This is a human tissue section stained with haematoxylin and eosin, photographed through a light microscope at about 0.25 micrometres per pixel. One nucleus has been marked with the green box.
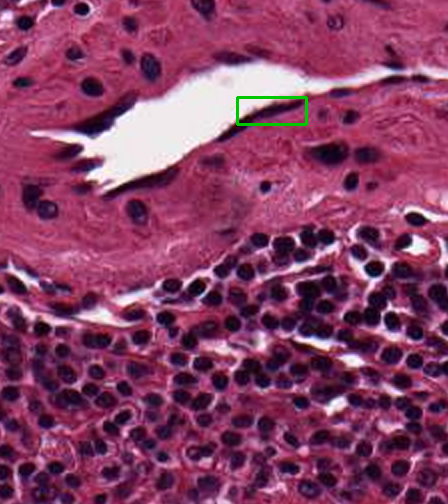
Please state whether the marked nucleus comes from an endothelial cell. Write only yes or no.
yes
